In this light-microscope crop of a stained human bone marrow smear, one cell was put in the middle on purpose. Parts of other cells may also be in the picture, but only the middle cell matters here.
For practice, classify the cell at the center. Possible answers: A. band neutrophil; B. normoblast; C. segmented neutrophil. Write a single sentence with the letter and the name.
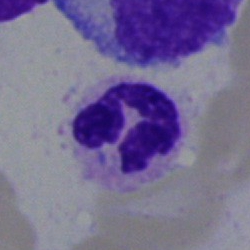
The central cell in this crop is a segmented neutrophil, corresponding to option C, the correct option.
